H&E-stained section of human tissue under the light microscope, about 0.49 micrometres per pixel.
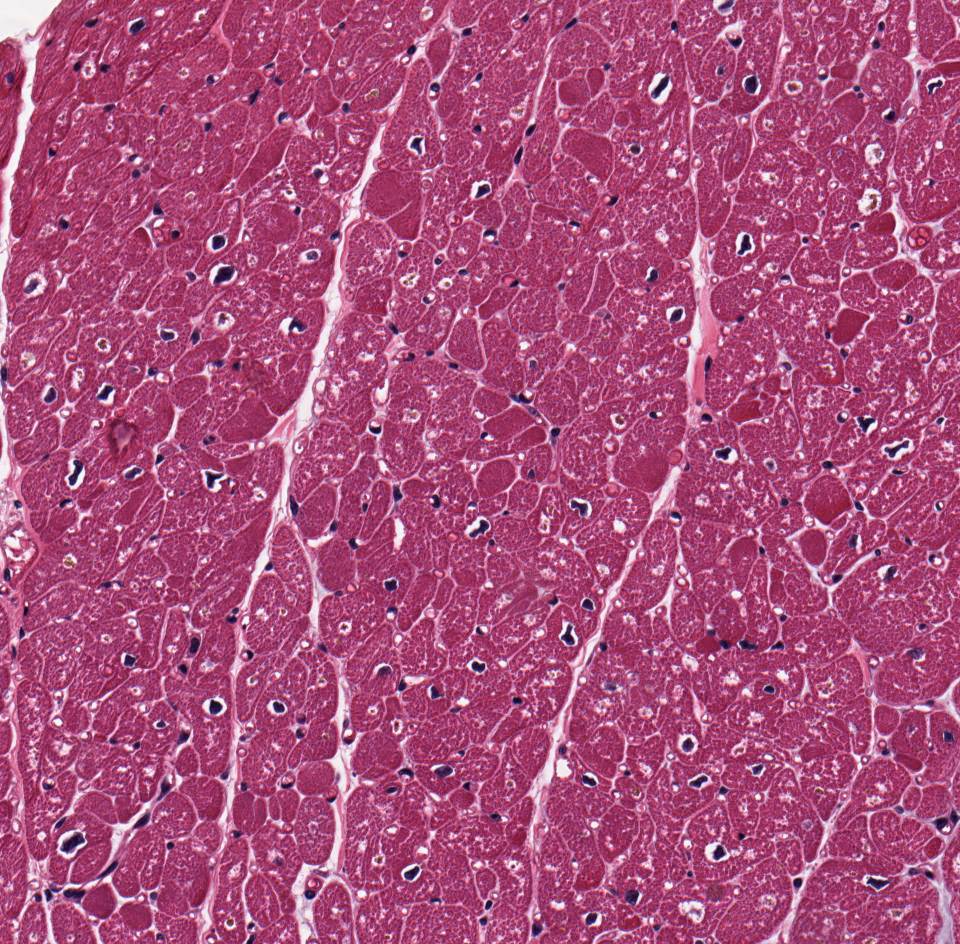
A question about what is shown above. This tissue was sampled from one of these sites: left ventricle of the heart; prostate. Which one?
left ventricle of the heart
